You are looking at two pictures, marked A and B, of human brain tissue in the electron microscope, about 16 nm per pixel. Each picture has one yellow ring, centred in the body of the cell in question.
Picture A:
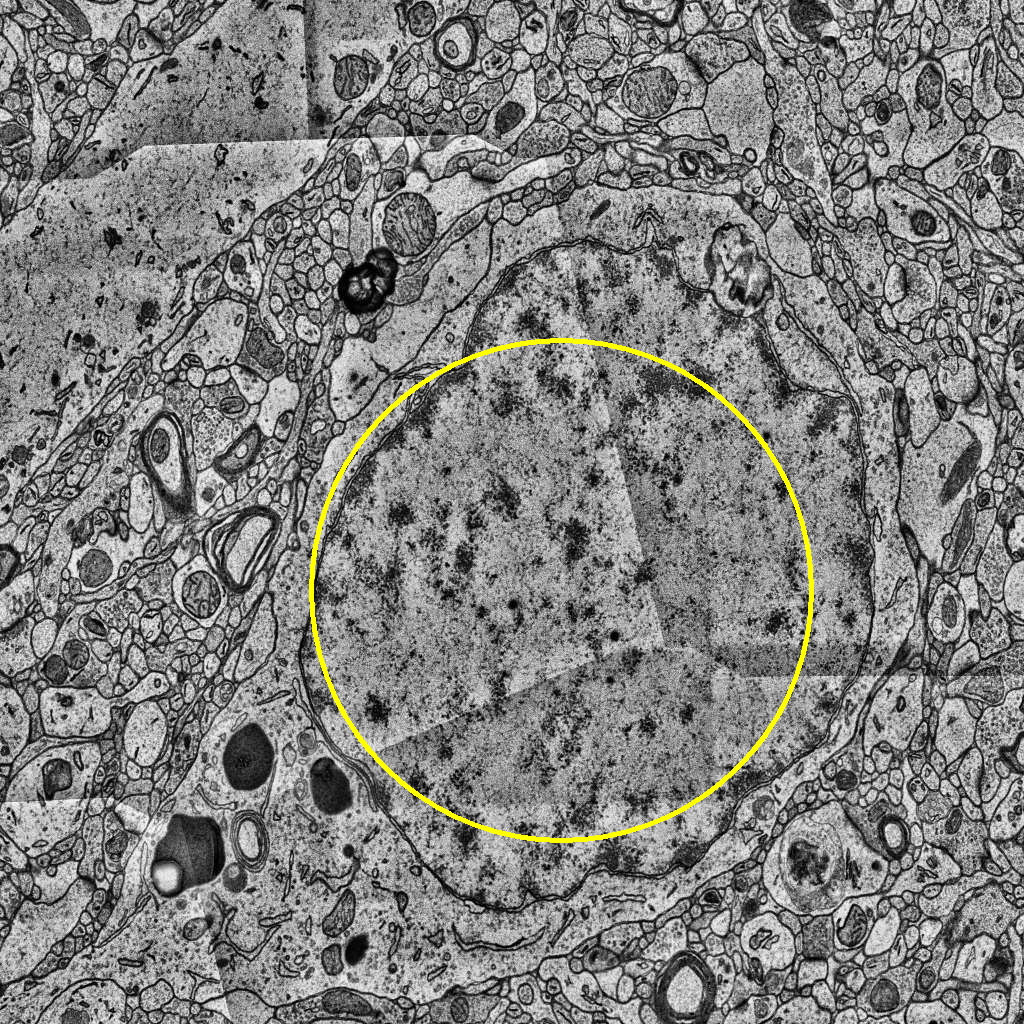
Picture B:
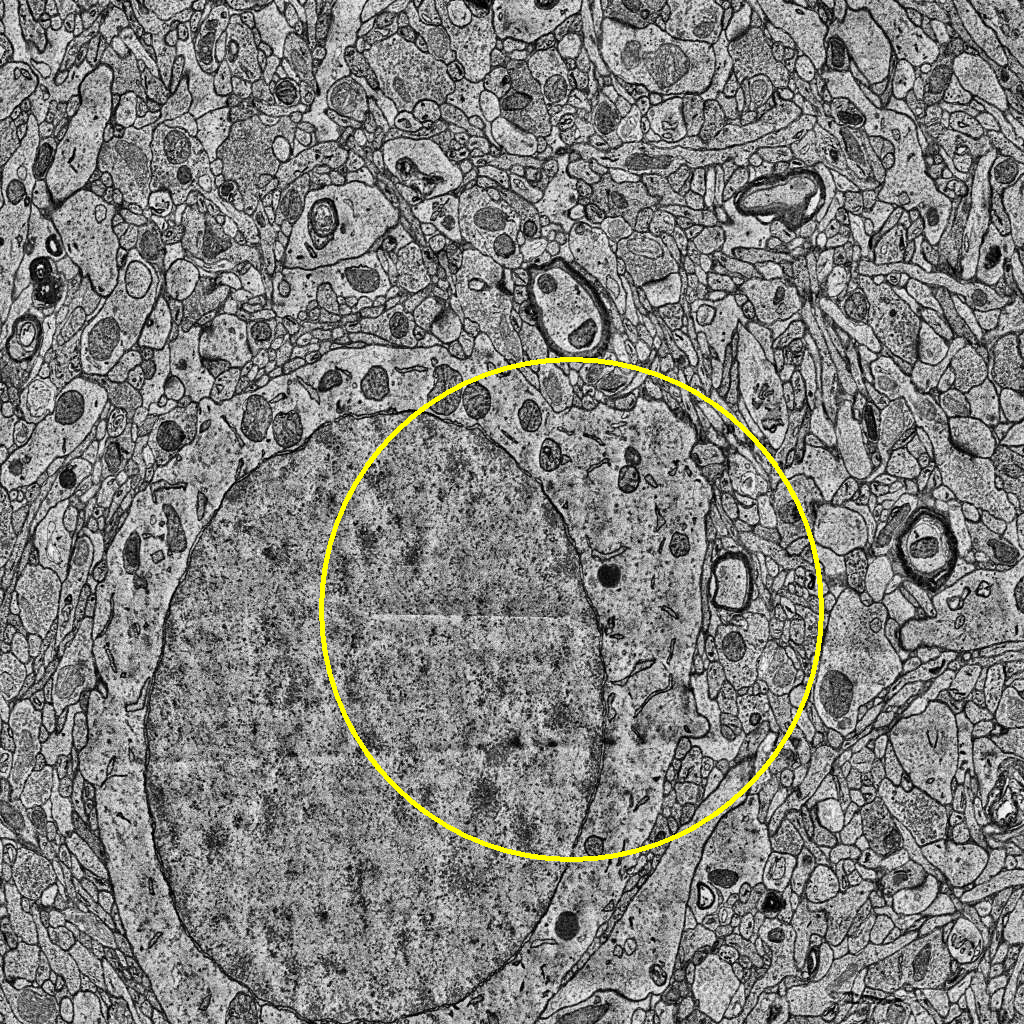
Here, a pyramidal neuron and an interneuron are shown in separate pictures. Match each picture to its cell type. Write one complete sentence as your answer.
Picture A shows an interneuron and picture B shows a pyramidal neuron.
